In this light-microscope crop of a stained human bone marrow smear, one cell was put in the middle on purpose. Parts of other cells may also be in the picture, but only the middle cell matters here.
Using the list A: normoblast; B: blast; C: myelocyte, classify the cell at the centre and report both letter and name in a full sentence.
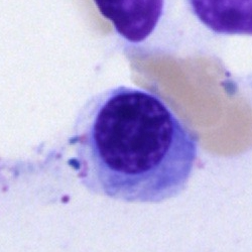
Located in the middle of the crop is a normoblast, and option A is therefore correct.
